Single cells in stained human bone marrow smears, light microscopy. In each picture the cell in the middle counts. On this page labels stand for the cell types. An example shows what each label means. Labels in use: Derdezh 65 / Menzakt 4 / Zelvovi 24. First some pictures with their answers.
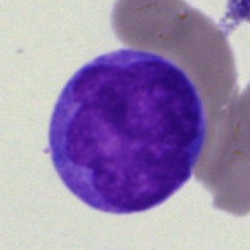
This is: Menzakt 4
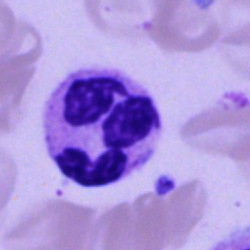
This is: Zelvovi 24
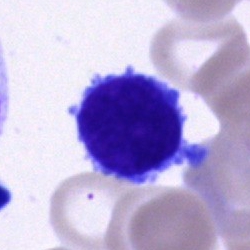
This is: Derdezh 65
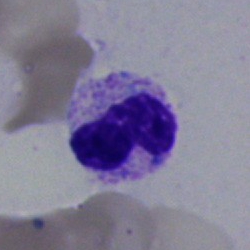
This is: Zelvovi 24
